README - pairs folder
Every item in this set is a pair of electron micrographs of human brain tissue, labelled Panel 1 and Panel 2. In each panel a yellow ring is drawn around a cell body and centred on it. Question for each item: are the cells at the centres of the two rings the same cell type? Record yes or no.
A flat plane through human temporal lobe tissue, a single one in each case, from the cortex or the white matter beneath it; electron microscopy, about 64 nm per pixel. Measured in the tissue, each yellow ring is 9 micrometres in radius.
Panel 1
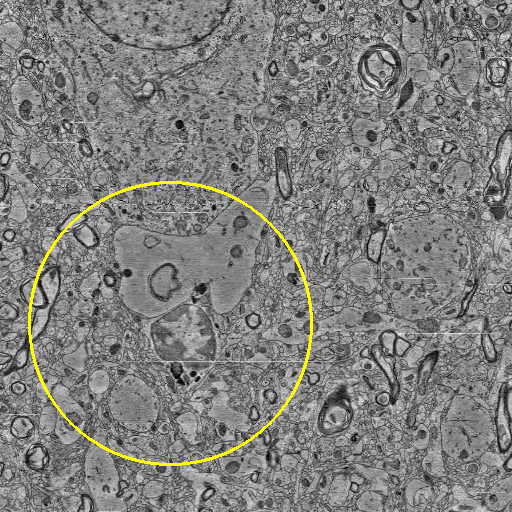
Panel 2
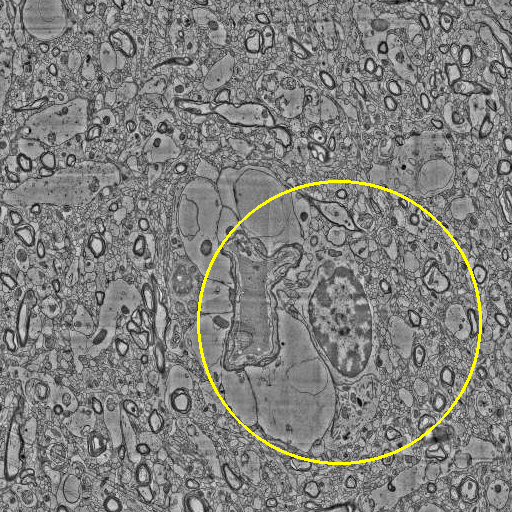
yes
